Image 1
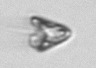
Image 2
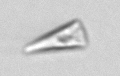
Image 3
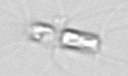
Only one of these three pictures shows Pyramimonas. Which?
Picture 1.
